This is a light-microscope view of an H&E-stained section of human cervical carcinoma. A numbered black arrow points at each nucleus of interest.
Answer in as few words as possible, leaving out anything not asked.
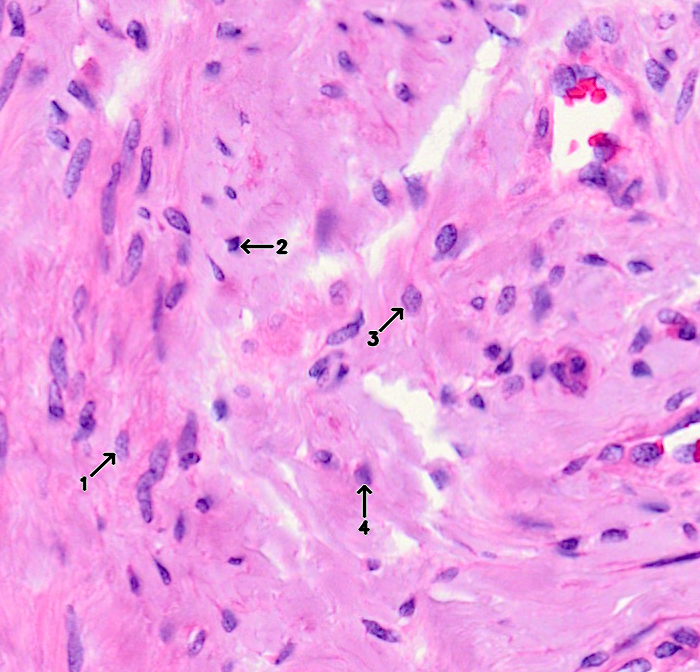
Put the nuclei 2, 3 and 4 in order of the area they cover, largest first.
3, 4, 2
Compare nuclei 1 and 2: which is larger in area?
1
